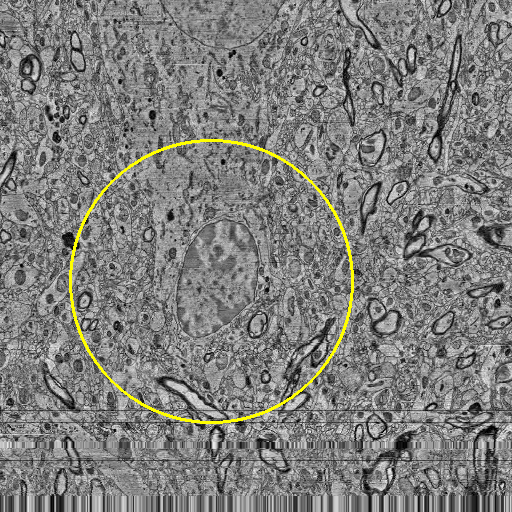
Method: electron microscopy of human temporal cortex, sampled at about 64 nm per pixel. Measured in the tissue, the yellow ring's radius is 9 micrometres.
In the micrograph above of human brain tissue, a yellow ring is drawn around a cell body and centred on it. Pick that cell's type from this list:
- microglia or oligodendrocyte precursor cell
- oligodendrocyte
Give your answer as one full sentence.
Going by the list, a microglial cell or oligodendrocyte precursor cell is the cell on which the yellow ring is centred.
